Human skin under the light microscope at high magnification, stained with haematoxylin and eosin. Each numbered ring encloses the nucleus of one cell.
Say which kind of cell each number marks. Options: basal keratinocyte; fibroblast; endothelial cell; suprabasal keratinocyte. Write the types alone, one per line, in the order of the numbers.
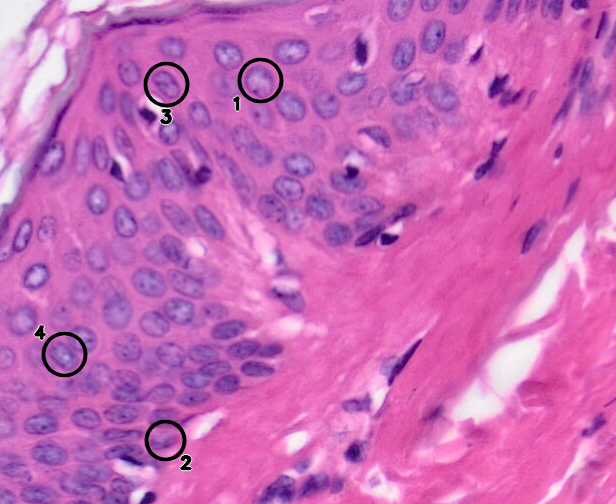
suprabasal keratinocyte
basal keratinocyte
suprabasal keratinocyte
suprabasal keratinocyte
